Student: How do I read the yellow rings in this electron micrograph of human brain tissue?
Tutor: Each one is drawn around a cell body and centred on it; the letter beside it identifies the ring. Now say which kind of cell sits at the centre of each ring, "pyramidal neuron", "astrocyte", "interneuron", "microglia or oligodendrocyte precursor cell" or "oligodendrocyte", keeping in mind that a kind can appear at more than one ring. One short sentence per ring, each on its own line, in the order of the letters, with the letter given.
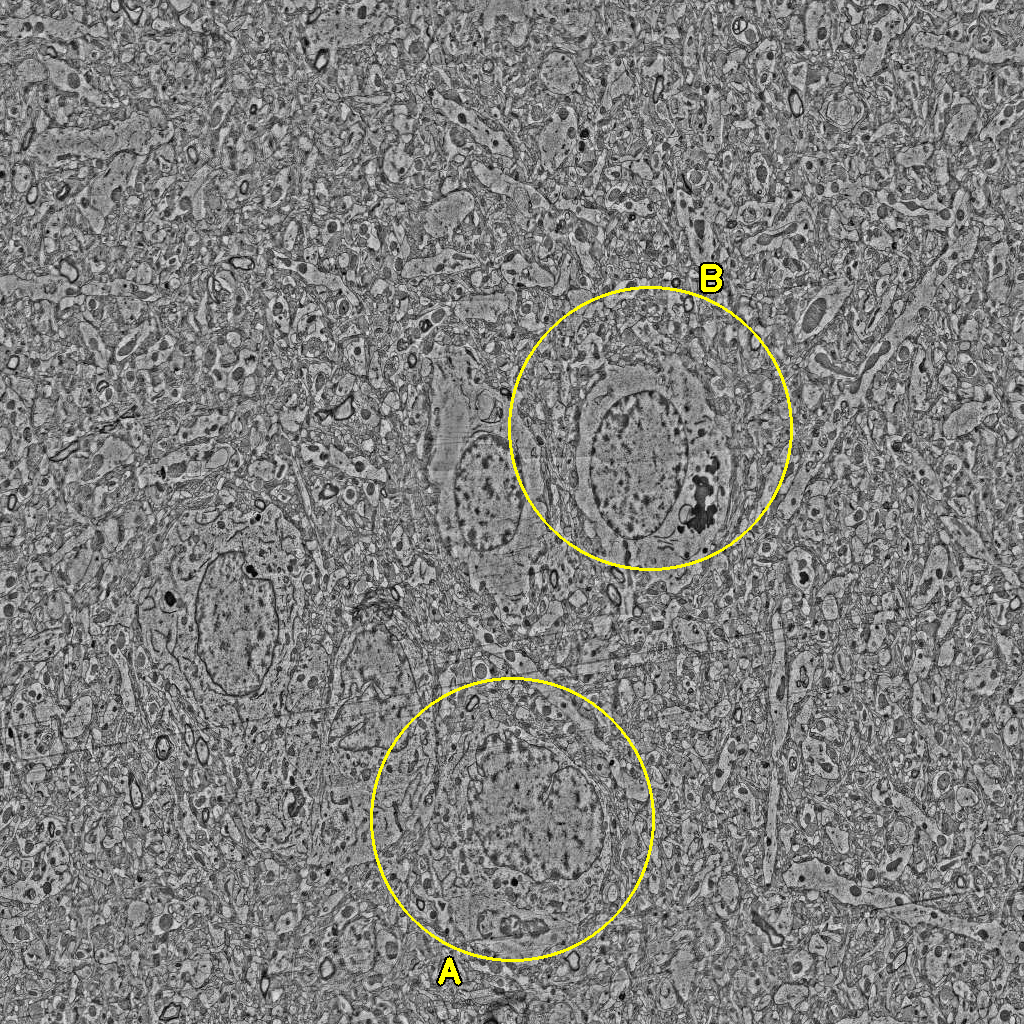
In the centre of ring A is an interneuron.
In the centre of ring B is an astrocyte.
